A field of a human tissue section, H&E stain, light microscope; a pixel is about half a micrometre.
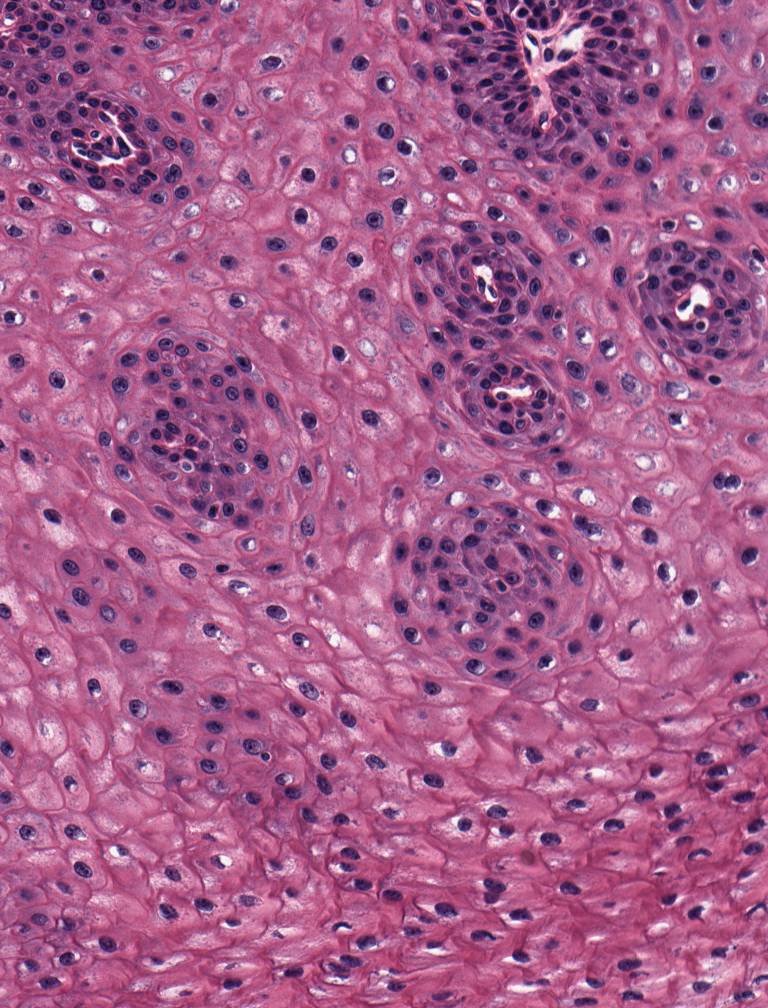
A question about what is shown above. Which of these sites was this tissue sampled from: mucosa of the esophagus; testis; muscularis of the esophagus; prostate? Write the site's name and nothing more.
mucosa of the esophagus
